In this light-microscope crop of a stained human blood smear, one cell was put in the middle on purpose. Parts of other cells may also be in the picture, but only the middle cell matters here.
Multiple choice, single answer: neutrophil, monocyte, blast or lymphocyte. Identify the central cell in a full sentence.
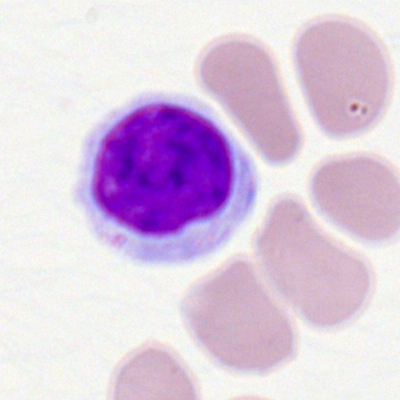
Regarding the central cell, it is a lymphocyte.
